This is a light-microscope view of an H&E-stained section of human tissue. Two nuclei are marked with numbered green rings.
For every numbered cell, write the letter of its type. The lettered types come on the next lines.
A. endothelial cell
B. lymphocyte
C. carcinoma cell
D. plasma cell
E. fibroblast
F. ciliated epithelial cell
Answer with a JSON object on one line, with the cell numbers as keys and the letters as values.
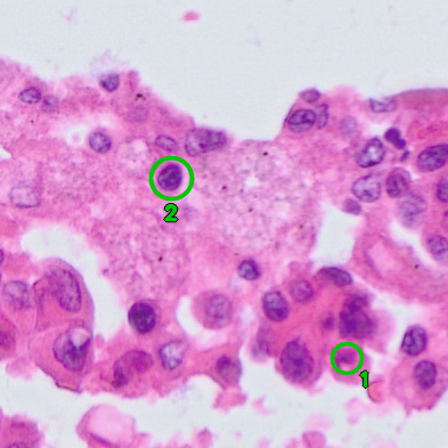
{"1": "C", "2": "D"}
